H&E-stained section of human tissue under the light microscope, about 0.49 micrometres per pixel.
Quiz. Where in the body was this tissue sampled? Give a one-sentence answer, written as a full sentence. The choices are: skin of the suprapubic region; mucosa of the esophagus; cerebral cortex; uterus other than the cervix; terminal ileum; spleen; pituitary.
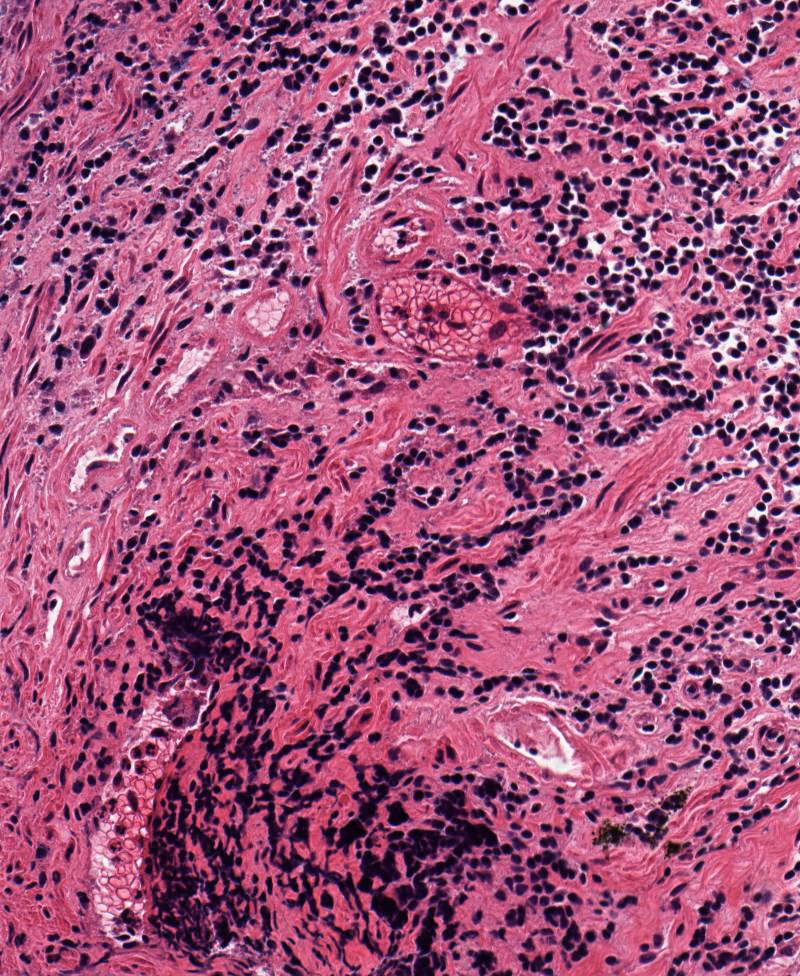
Tissue from the terminal ileum was used for this section.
